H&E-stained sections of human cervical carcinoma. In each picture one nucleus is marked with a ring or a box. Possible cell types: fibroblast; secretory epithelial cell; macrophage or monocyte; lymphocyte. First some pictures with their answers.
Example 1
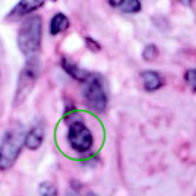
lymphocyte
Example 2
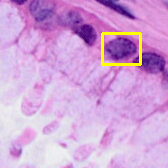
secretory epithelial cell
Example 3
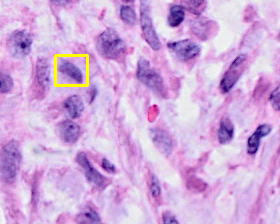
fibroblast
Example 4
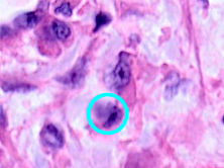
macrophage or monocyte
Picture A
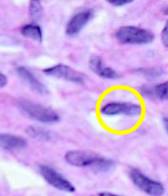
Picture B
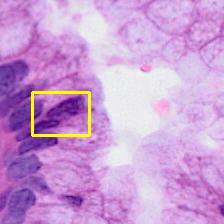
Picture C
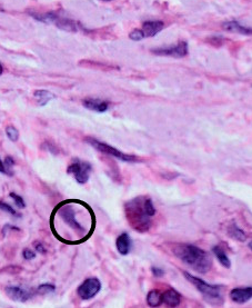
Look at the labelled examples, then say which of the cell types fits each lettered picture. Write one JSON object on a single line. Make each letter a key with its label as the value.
{"A": "fibroblast", "B": "secretory epithelial cell", "C": "fibroblast"}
